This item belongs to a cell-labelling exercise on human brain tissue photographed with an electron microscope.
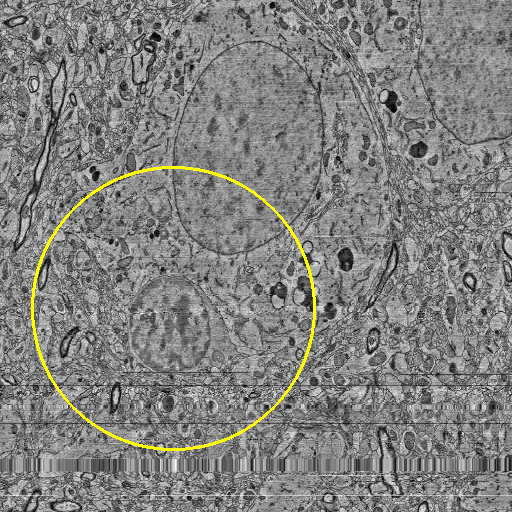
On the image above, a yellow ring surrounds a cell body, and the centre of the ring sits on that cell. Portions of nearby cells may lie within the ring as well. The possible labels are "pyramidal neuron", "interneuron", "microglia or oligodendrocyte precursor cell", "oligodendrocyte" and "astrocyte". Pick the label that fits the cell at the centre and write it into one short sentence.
This cell should be labelled as an oligodendrocyte.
